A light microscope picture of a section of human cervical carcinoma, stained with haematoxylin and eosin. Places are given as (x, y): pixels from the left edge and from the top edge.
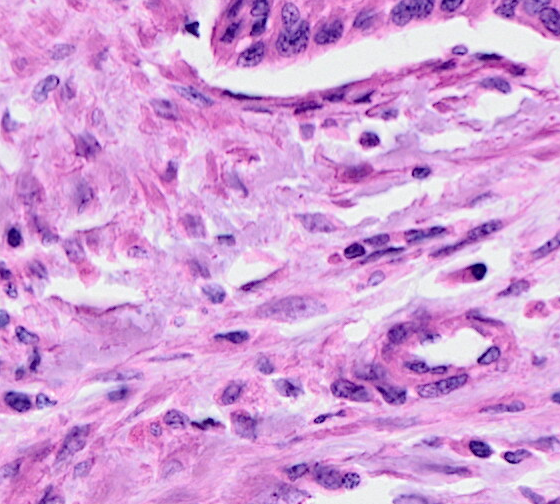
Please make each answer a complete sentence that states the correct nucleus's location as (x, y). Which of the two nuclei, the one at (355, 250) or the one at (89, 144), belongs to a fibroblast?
Of these two nuclei, it is the one at (89, 144) that belongs to a fibroblast.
